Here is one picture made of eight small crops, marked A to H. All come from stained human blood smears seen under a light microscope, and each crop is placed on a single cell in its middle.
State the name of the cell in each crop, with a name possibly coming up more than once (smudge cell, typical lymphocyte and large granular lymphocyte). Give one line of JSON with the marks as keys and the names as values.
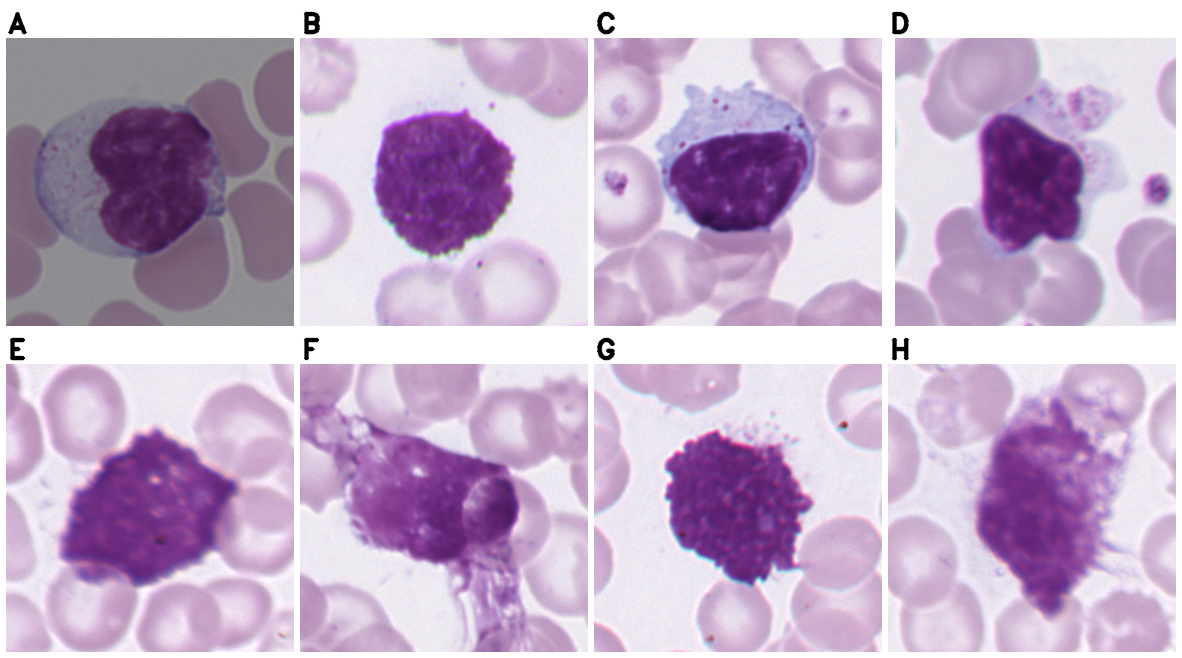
{"A": "large granular lymphocyte", "B": "smudge cell", "C": "large granular lymphocyte", "D": "large granular lymphocyte", "E": "smudge cell", "F": "smudge cell", "G": "smudge cell", "H": "smudge cell"}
